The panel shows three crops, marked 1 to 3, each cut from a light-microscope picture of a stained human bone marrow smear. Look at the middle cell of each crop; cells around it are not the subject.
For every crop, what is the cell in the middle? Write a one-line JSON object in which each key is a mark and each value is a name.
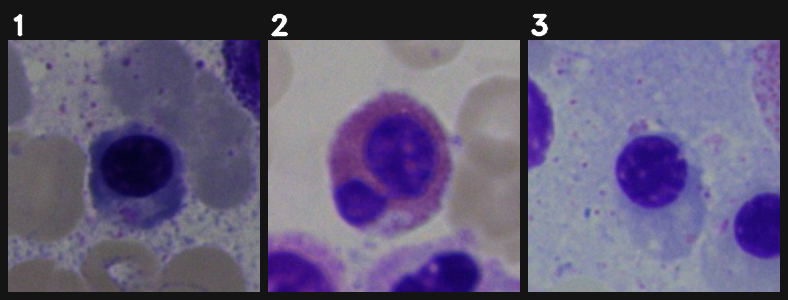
{"1": "erythroblast", "2": "eosinophil", "3": "erythroblast"}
